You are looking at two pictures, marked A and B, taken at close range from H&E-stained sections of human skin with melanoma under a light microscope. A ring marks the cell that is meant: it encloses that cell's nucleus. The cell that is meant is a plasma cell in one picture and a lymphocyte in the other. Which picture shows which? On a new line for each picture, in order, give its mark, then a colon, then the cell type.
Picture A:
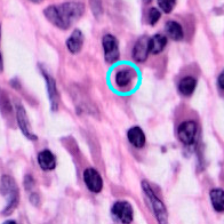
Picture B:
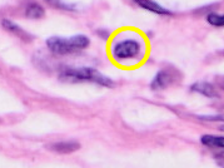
A: plasma cell
B: lymphocyte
